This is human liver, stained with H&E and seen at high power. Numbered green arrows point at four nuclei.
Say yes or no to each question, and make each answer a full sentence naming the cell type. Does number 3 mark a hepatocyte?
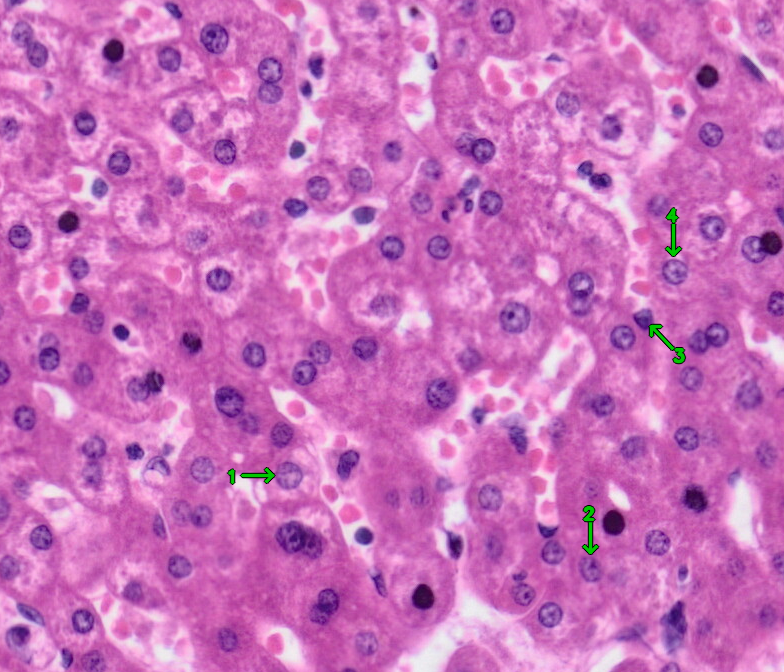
No, calling cell 3 a hepatocyte is incorrect; it is a fibroblast or stellate cell.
